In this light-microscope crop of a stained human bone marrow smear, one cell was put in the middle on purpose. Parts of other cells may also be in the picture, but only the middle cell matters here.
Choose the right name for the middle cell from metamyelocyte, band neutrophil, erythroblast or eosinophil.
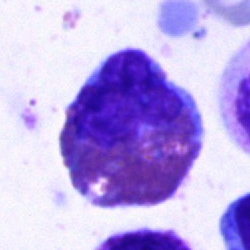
eosinophil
